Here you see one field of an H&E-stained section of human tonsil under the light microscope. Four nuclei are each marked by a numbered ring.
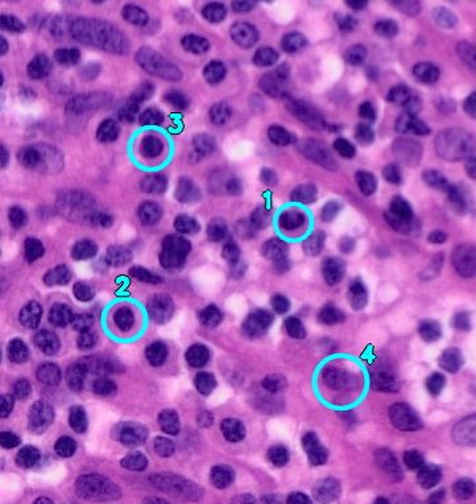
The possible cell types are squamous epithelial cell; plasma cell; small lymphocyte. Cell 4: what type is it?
squamous epithelial cell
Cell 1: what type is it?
plasma cell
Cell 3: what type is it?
plasma cell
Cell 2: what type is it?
plasma cell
